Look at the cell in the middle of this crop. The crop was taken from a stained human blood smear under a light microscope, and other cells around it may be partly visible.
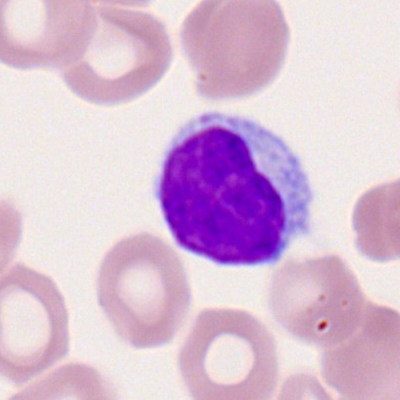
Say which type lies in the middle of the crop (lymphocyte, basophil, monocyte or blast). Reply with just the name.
lymphocyte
